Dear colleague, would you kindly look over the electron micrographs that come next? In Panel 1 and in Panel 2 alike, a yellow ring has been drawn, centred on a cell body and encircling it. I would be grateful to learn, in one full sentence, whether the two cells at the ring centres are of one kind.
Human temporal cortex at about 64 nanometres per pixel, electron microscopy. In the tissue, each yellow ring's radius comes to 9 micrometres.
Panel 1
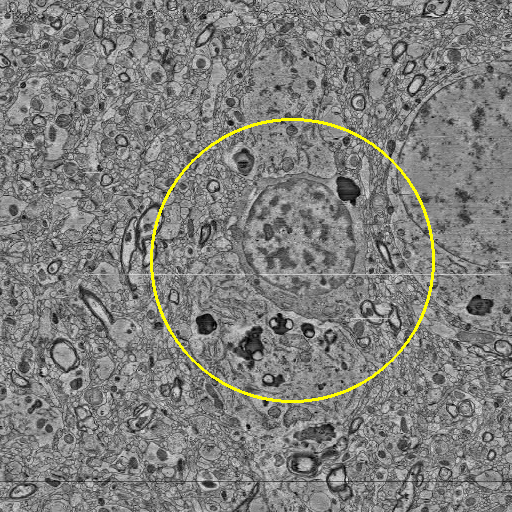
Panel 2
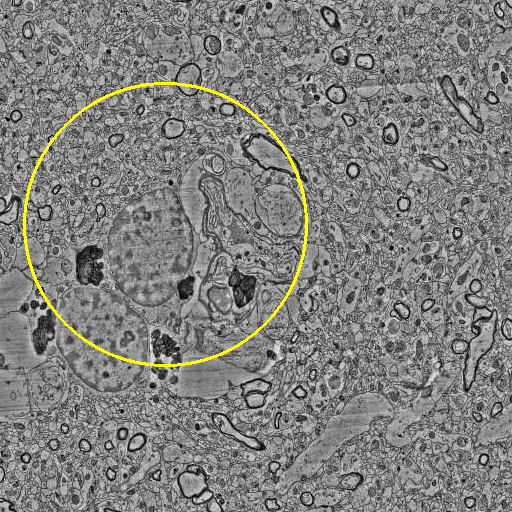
Yes, the cells in the middle of the rings in the two panels are of one kind.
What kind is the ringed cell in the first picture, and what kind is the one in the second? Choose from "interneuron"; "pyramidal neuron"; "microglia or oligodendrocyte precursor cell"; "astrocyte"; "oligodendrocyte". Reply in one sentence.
Each cell at the centre of a ring is an oligodendrocyte.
